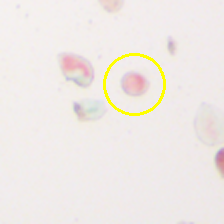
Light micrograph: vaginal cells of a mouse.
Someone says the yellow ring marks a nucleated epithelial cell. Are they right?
They are right: it is a nucleated epithelial cell.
